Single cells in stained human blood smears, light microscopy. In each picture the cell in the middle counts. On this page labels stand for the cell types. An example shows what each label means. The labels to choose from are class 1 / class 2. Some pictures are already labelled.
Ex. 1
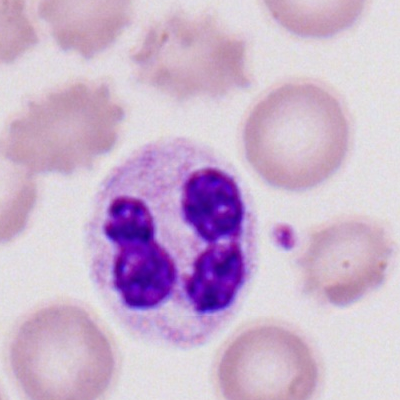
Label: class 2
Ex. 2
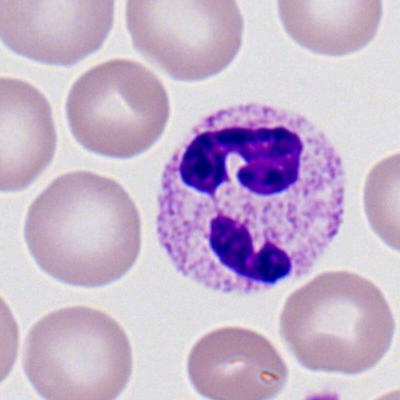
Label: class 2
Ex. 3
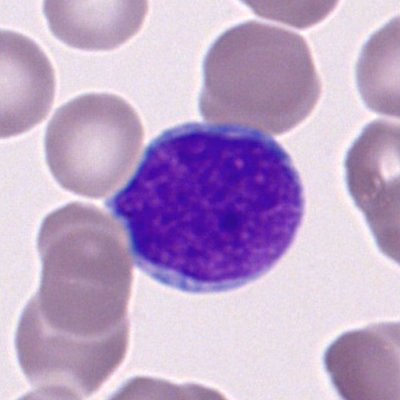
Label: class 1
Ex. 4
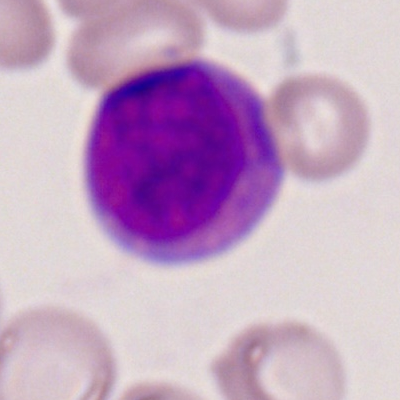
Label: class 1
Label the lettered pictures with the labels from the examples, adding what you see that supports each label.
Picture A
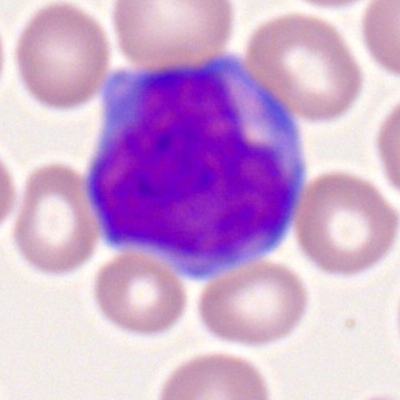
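Label: class 1. The nucleus is a single unlobed mass that fills most of the cell.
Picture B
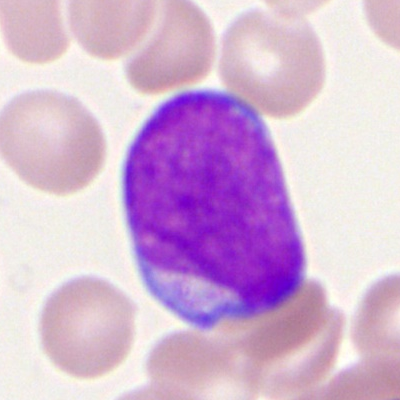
Label: class 1. The cytoplasm is scant, forming only a thin rim around most of the nucleus.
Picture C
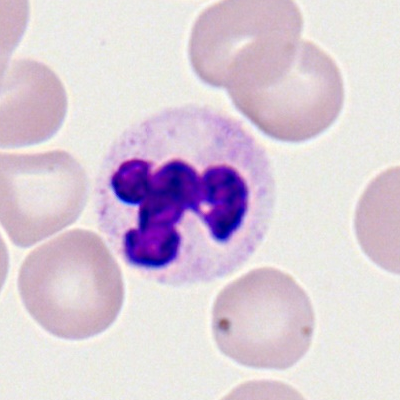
Label: class 2. The cytoplasm is abundant and pale pinkish-lilac.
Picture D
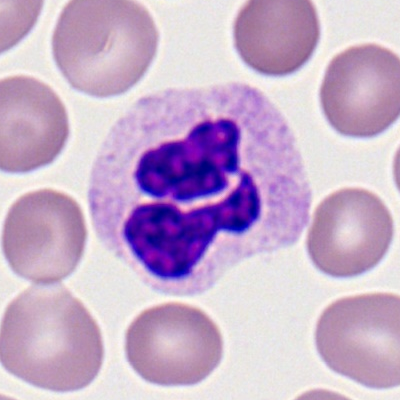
Label: class 2. The nucleus is divided into lobes separated by a narrow pale cleft.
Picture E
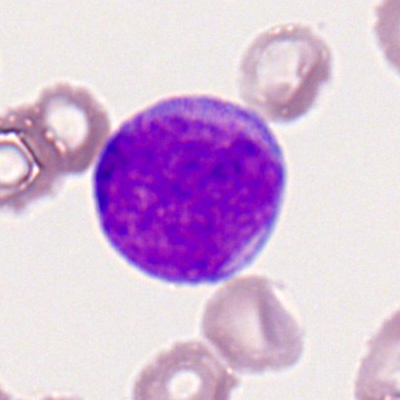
Label: class 1. The thin rim of cytoplasm along the upper edge is blue.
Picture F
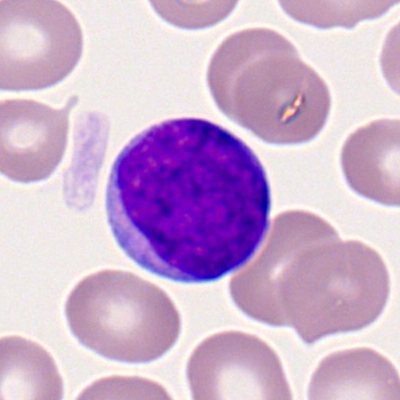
Label: class 1. The nucleus fills most of the cell.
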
